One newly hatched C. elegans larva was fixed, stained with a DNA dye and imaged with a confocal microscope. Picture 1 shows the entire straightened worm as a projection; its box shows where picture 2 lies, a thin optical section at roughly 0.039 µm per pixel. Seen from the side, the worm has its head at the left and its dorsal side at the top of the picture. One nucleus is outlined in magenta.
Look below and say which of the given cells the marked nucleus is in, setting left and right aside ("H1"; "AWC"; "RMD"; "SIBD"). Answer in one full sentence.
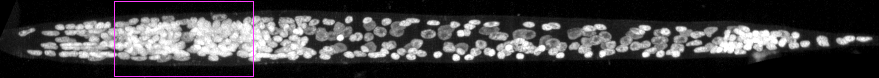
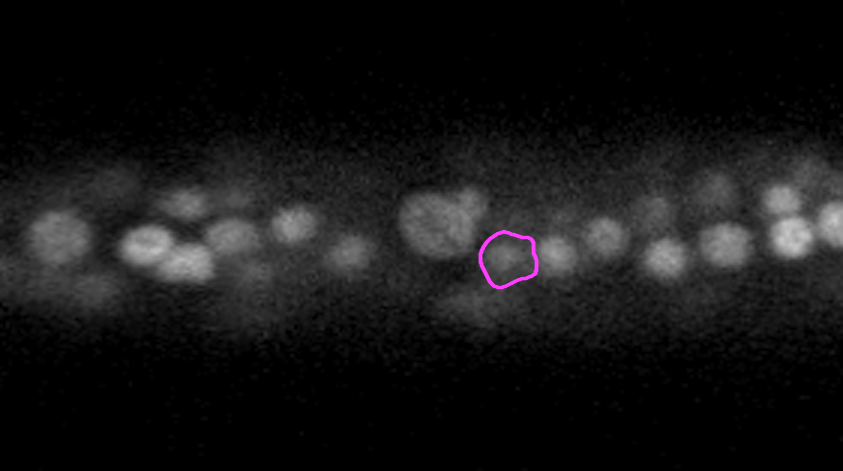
It is the nucleus of RMD, a neuron.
